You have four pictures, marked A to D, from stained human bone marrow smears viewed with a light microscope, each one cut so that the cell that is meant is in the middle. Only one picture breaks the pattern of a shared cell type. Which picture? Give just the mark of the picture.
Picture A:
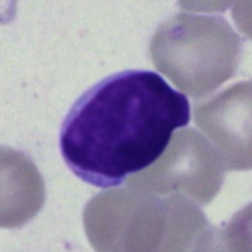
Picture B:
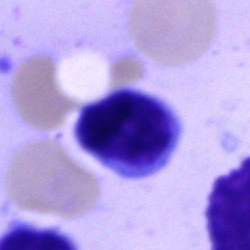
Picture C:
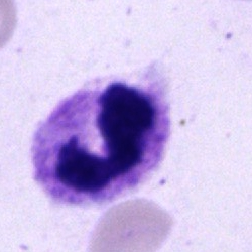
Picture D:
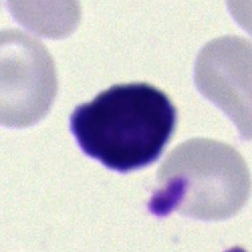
C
